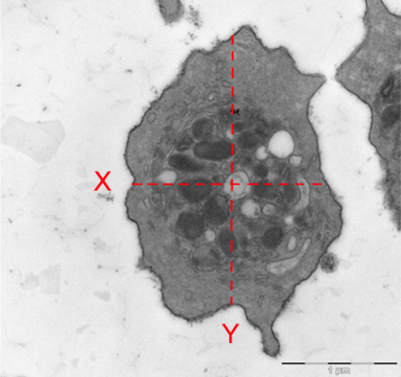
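This is a thin section through a single platelet, a small anucleate cell fragment with an irregular outline and a few short pointed projections at its edge. The cytoplasm holds many dark, round to oval granules clustered toward the middle, along with small clear vesicles.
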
